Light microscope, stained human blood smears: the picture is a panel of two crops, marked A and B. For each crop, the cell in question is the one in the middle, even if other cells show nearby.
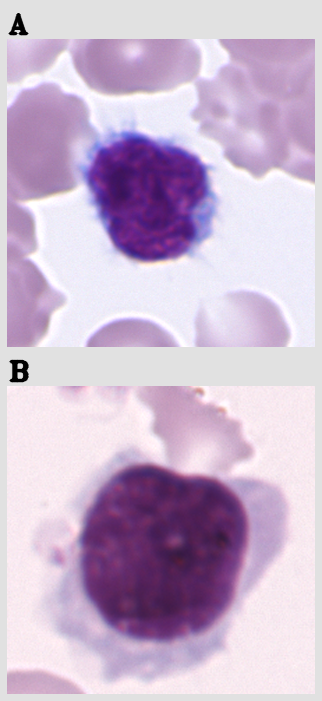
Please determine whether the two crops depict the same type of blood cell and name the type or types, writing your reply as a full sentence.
Yes, both crops show hairy cells, the one and the other.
